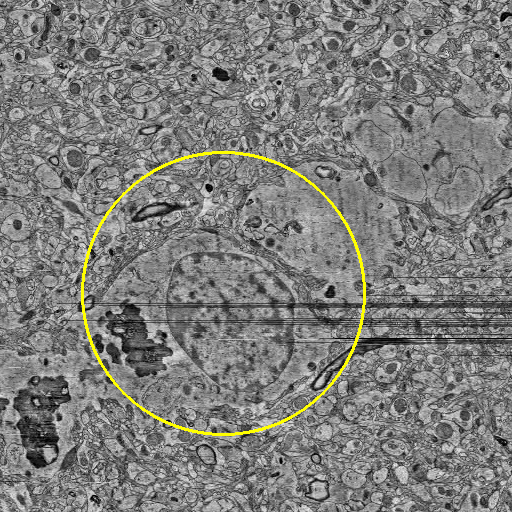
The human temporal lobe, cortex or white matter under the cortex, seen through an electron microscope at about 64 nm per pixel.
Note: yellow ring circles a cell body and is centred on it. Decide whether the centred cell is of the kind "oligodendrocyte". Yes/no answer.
No, the centred cell is of another kind.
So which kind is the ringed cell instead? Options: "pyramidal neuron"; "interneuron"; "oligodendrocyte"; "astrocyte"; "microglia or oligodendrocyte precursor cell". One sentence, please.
Sitting at the ring centre is an astrocyte.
